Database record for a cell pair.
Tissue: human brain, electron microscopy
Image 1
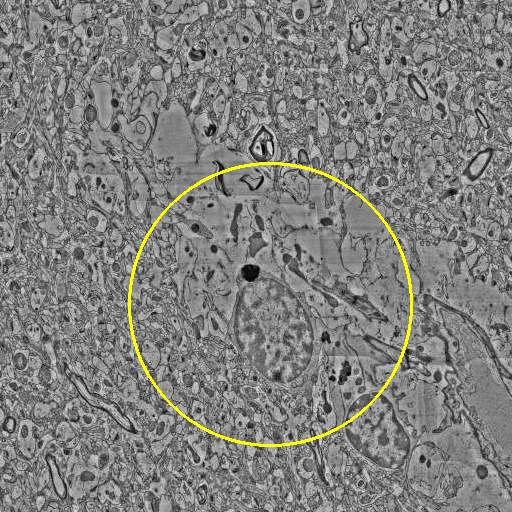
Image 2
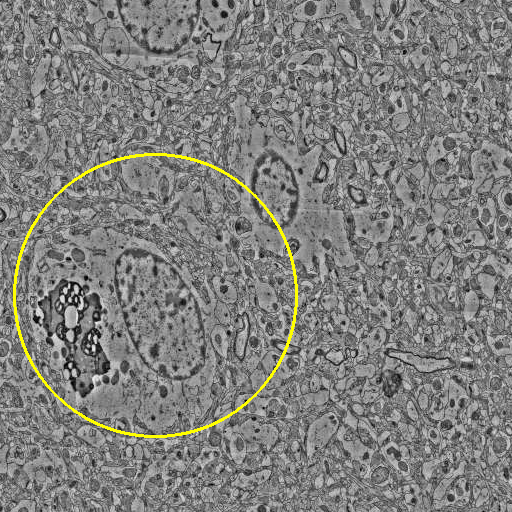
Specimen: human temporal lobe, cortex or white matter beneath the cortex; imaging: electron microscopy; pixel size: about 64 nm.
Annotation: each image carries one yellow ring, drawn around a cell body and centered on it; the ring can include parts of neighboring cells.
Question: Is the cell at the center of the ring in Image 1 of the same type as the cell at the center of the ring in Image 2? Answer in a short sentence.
No, the cells are of two types.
